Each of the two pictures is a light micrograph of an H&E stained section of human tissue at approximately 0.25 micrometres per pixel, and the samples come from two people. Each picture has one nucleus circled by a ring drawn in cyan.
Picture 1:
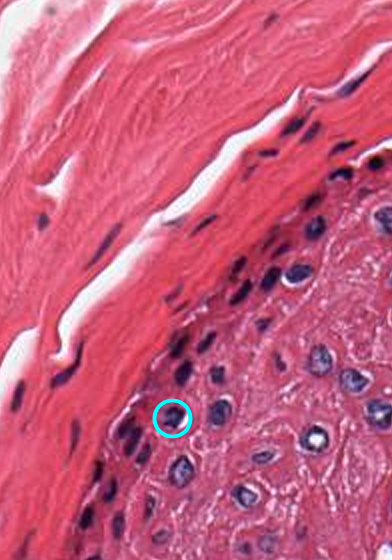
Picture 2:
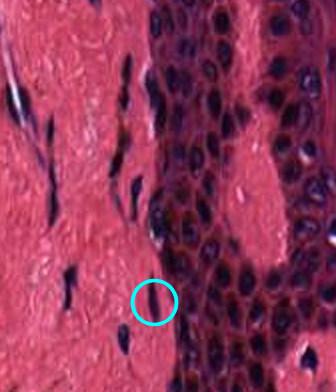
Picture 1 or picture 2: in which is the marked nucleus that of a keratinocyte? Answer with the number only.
1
